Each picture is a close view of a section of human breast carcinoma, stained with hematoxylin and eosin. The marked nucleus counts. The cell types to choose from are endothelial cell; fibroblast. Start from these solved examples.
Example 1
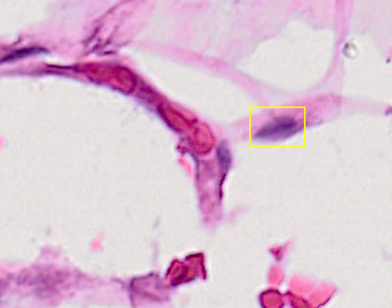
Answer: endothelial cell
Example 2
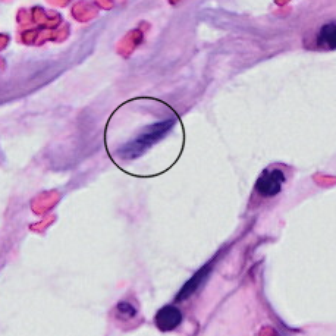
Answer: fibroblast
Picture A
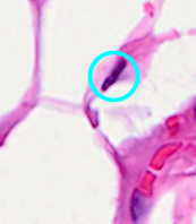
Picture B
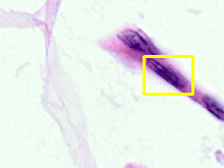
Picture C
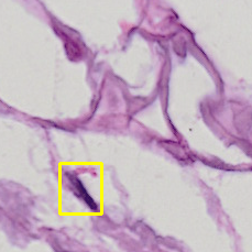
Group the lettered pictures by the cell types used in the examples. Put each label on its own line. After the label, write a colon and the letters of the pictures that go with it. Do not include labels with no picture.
endothelial cell: B
fibroblast: A, C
